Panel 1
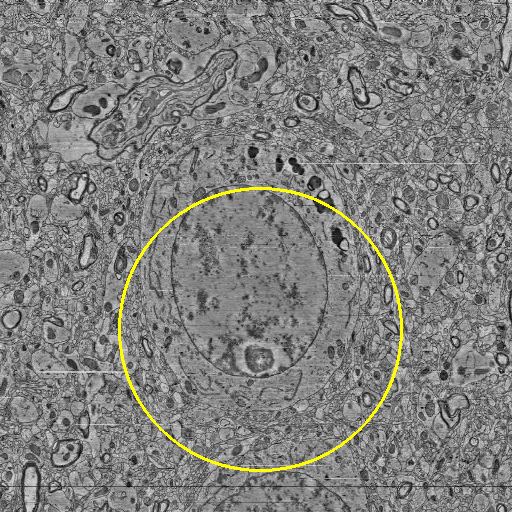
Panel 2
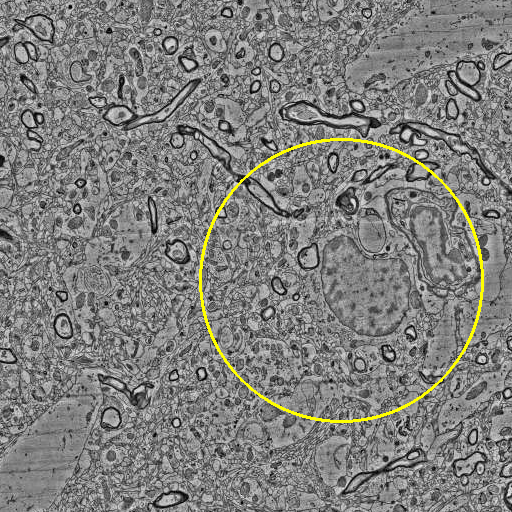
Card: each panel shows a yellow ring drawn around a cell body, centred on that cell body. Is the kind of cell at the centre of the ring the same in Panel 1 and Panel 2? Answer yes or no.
no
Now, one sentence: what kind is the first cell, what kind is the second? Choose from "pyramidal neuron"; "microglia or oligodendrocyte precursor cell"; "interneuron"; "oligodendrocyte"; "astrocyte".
The first picture has a pyramidal neuron at its ring centre, and the second has an oligodendrocyte.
